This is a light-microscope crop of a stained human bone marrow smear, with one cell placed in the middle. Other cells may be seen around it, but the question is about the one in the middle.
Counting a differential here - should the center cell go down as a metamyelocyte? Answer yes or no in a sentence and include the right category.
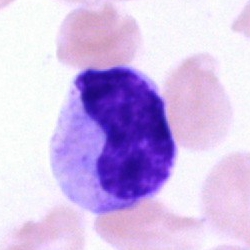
Yes, the cell at the centre of the field is a metamyelocyte.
